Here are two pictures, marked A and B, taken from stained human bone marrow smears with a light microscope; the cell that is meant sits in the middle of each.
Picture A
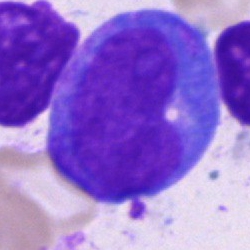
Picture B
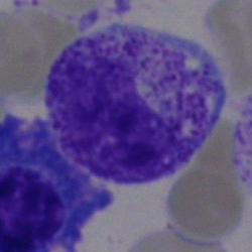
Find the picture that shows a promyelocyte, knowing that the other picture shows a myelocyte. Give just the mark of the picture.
A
